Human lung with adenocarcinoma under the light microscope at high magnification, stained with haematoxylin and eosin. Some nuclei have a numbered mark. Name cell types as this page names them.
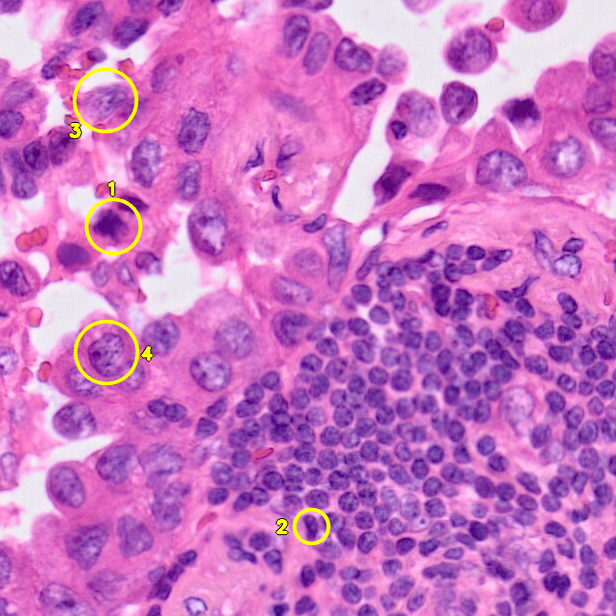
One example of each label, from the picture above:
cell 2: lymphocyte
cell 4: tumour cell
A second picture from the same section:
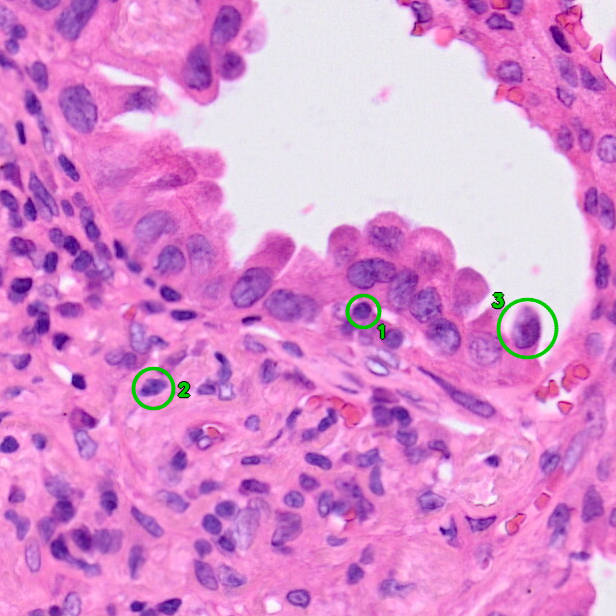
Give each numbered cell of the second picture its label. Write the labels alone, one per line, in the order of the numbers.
lymphocyte
lymphocyte
tumour cell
